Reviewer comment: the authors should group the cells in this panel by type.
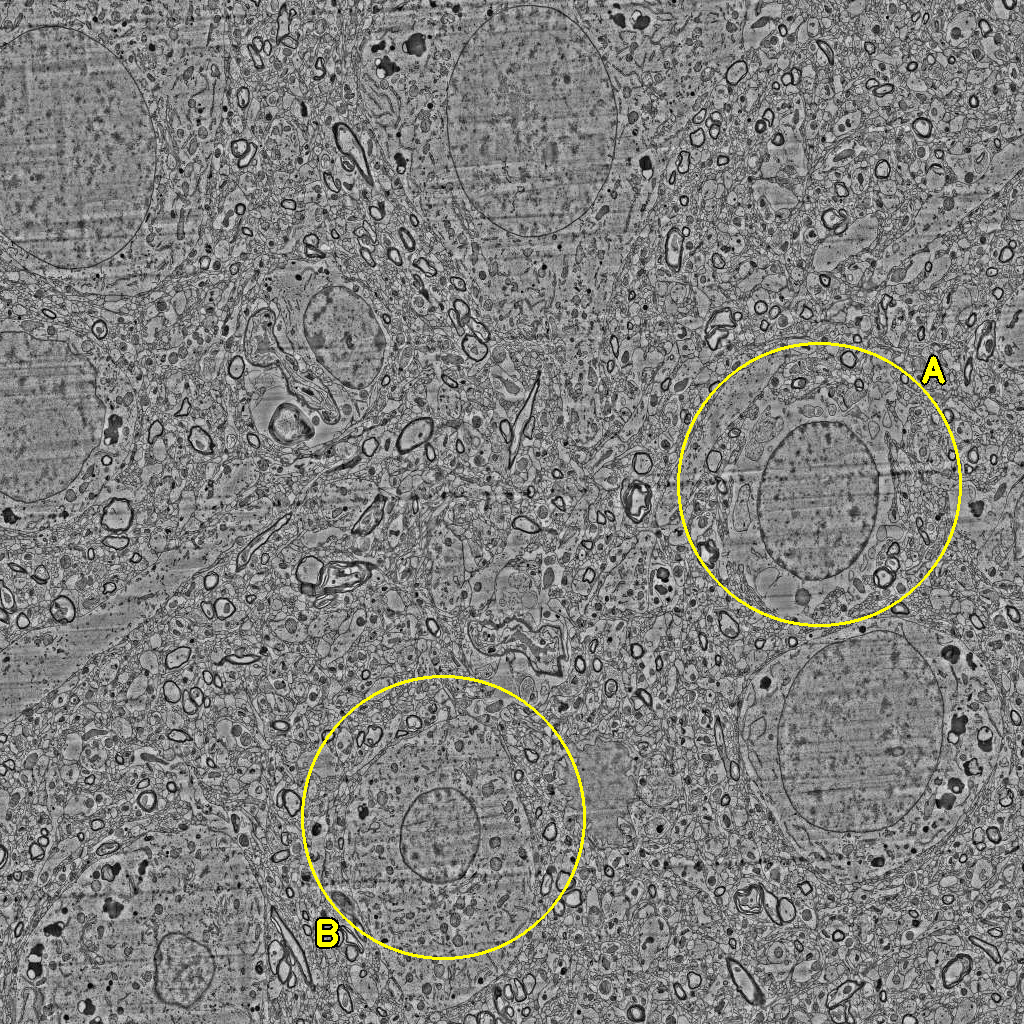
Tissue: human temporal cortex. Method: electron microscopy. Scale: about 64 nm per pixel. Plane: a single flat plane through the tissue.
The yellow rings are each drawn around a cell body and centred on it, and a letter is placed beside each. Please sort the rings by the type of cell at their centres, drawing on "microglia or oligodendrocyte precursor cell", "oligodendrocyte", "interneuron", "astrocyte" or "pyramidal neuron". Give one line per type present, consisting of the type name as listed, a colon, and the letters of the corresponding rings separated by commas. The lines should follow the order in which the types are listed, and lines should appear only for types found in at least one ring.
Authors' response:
astrocyte: A
pyramidal neuron: B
